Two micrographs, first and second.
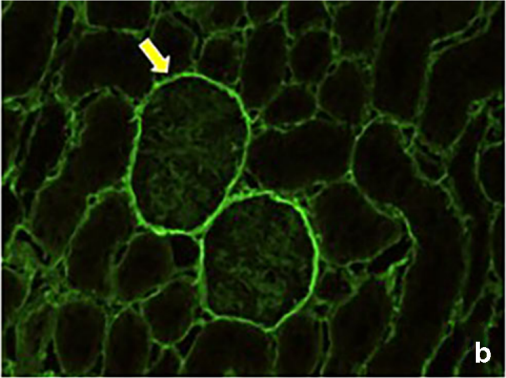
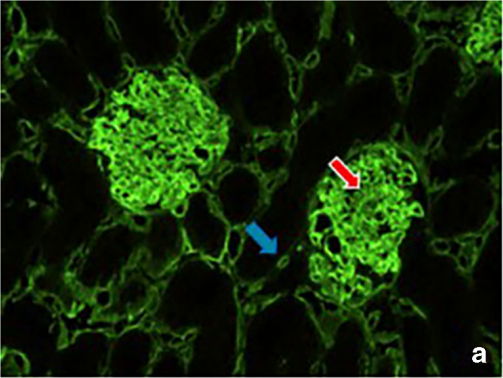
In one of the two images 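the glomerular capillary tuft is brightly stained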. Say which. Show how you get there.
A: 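First image: the round tufts are only faintly stained, while a bright ring surrounds them. Second image: the round tufts are filled with bright green looped capillaries.
Conclusion: the second image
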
